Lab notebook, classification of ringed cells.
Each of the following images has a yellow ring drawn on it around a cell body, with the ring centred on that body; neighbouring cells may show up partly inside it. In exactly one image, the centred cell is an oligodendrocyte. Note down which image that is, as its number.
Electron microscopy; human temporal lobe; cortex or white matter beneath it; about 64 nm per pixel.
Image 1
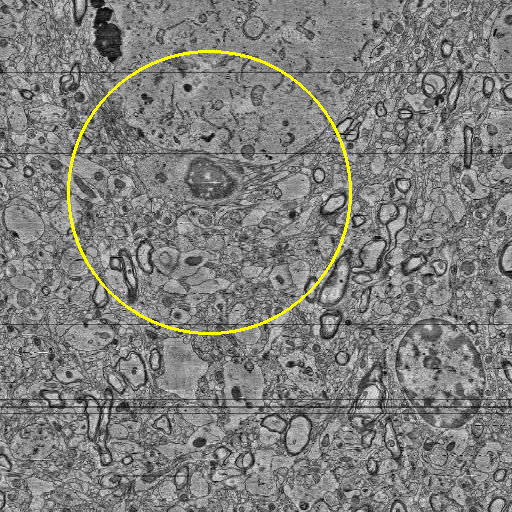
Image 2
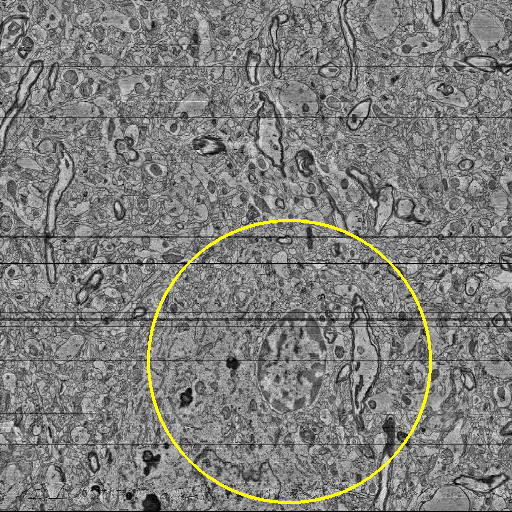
1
